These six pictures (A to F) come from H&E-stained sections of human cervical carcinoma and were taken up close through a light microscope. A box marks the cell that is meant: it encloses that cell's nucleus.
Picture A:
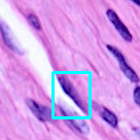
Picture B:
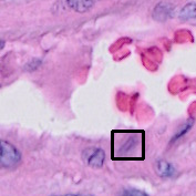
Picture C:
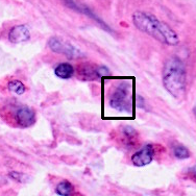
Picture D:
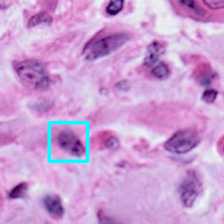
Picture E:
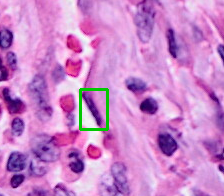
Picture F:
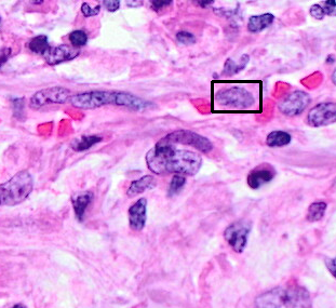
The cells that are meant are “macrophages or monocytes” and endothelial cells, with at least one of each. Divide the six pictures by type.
A: endothelial cell
B: endothelial cell
C: macrophage or monocyte
D: macrophage or monocyte
E: endothelial cell
F: endothelial cell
